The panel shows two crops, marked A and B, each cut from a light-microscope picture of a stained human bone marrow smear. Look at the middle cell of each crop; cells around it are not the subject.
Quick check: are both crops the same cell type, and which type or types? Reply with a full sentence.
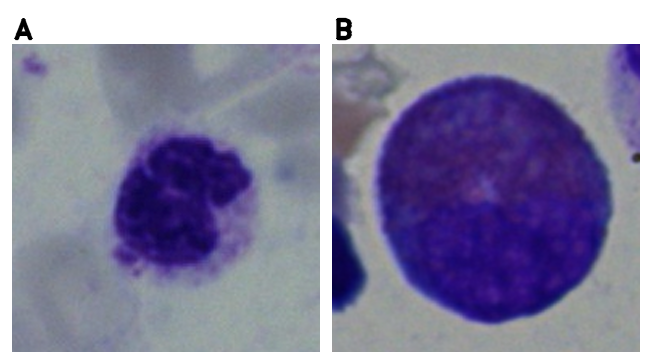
No, crop A and crop B contain, respectively, a segmented neutrophil and an eosinophil.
